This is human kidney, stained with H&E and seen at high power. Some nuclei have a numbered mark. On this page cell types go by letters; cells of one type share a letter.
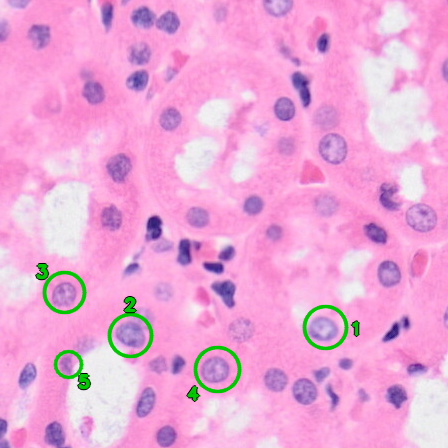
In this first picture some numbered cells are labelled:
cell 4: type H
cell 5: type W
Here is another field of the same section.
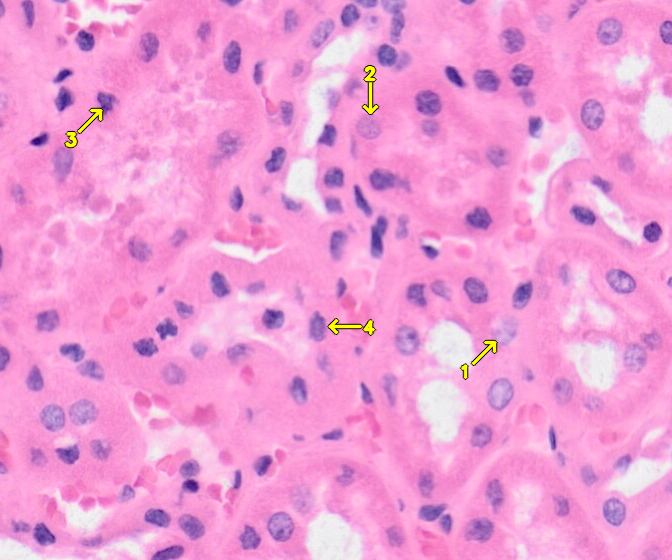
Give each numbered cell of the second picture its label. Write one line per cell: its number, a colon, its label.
1: type H
2: type H
3: type H
4: type W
